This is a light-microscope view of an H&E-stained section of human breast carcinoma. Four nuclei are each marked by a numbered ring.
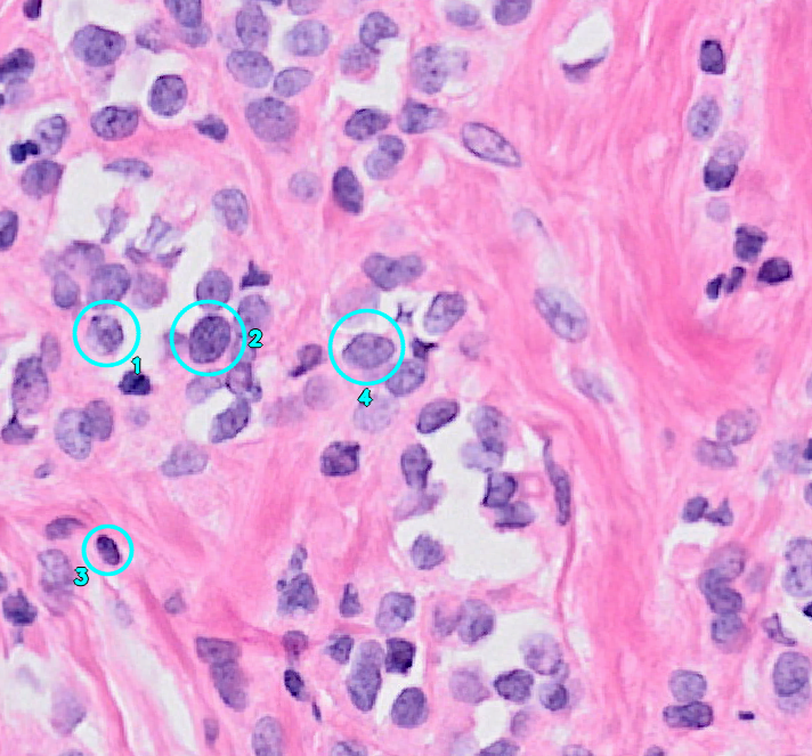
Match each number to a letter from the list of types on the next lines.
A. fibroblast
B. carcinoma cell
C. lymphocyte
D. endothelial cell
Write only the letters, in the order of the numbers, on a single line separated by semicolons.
B; B; C; B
